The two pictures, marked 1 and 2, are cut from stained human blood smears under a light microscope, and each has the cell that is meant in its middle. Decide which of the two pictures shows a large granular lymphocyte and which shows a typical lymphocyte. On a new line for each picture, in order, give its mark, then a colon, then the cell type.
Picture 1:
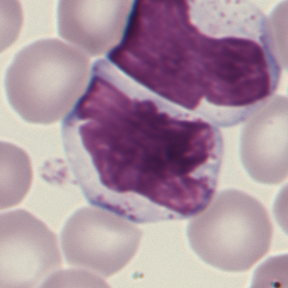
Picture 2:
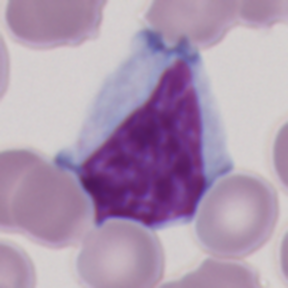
1: large granular lymphocyte
2: typical lymphocyte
